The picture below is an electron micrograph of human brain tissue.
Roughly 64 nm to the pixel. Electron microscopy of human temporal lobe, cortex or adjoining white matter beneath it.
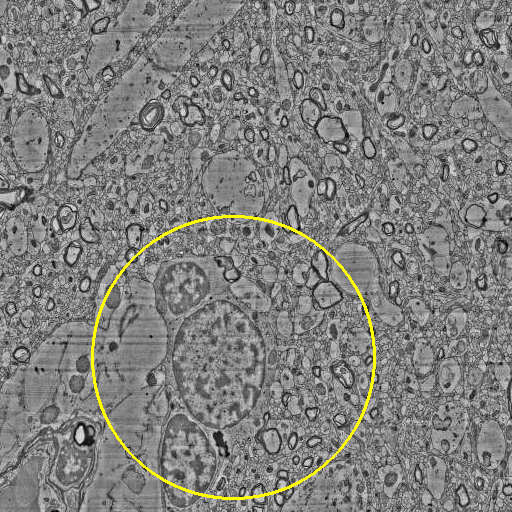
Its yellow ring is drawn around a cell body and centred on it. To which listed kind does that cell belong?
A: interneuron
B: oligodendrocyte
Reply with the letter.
B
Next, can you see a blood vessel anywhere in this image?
Yes, there is one.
